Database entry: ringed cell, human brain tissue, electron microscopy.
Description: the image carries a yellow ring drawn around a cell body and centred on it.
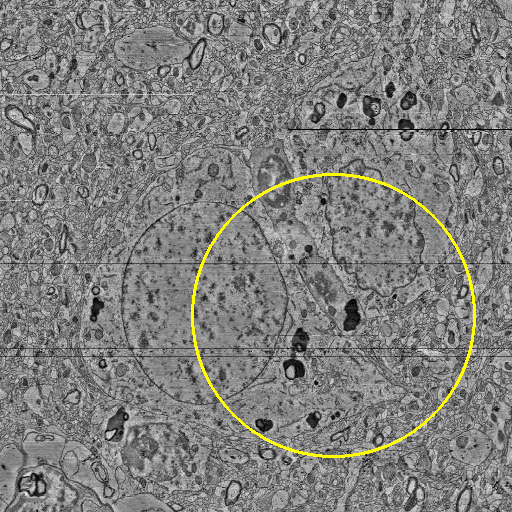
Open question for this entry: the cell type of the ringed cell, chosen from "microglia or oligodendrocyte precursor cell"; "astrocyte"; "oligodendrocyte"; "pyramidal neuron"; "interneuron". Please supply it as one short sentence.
The ringed cell is an oligodendrocyte.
